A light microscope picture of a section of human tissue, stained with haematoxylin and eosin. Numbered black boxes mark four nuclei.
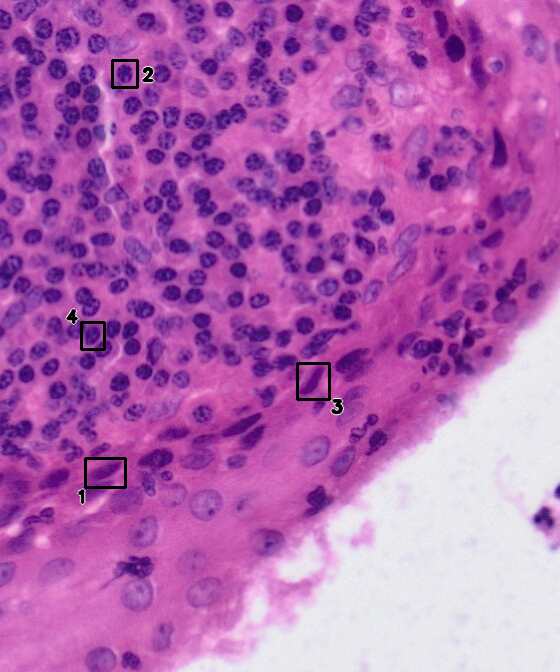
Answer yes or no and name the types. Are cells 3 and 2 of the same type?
No, the right answer is a squamous epithelial cell for cell 3 and a plasma cell for cell 2.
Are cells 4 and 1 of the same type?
No, cell 4 should be called a plasma cell, and cell 1 should be called a squamous epithelial cell.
